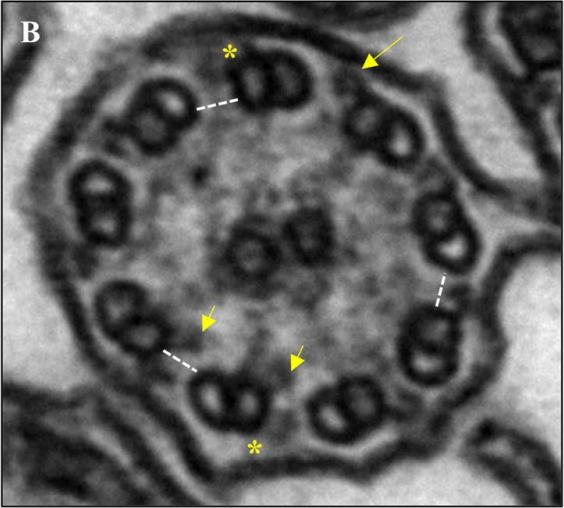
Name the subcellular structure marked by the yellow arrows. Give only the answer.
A: Outer and inner dynein arms.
